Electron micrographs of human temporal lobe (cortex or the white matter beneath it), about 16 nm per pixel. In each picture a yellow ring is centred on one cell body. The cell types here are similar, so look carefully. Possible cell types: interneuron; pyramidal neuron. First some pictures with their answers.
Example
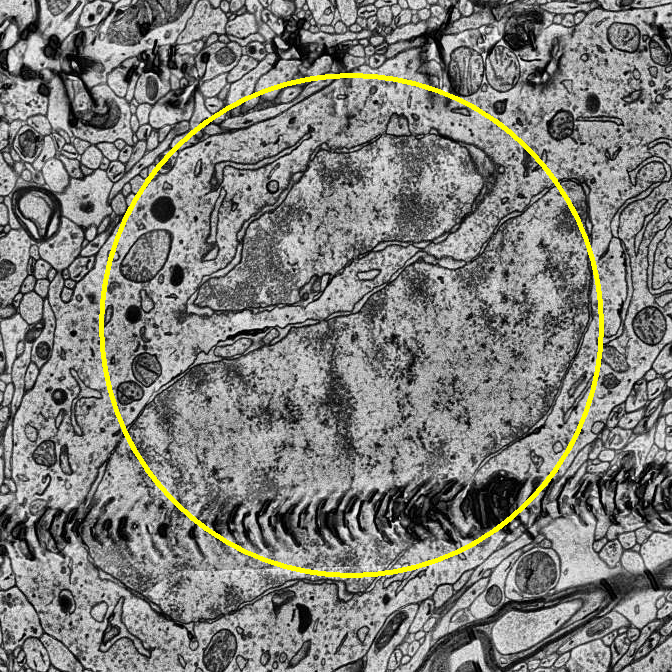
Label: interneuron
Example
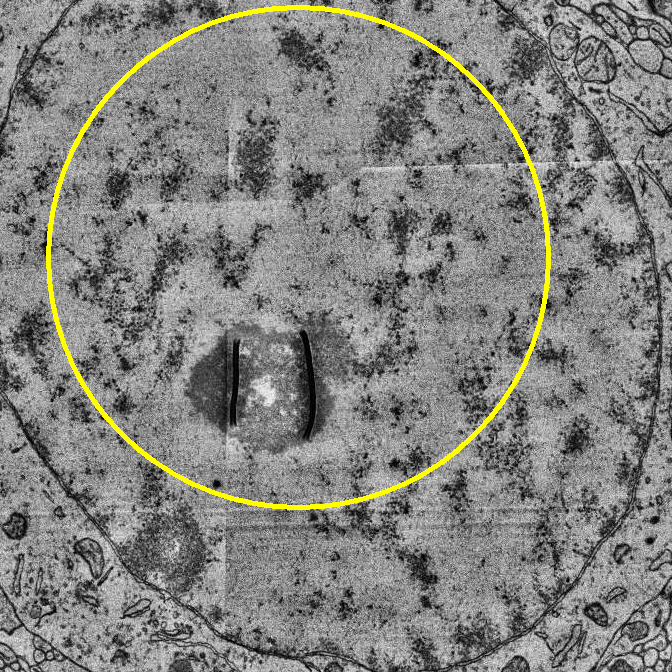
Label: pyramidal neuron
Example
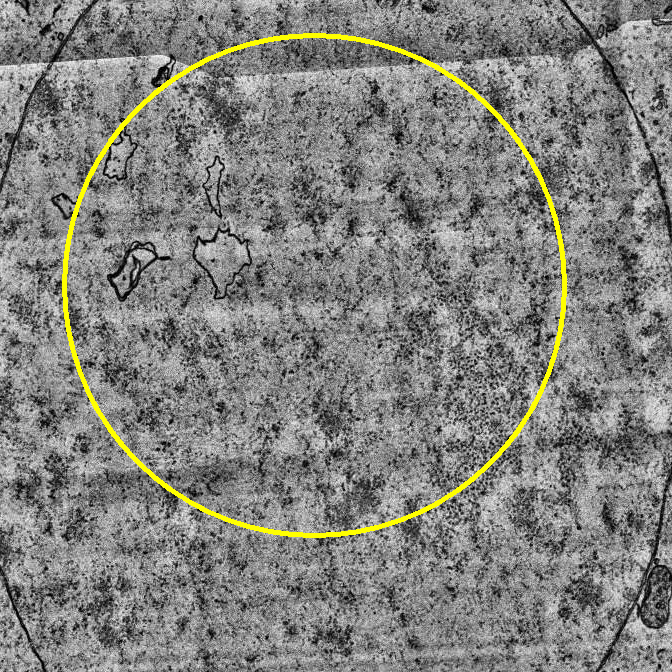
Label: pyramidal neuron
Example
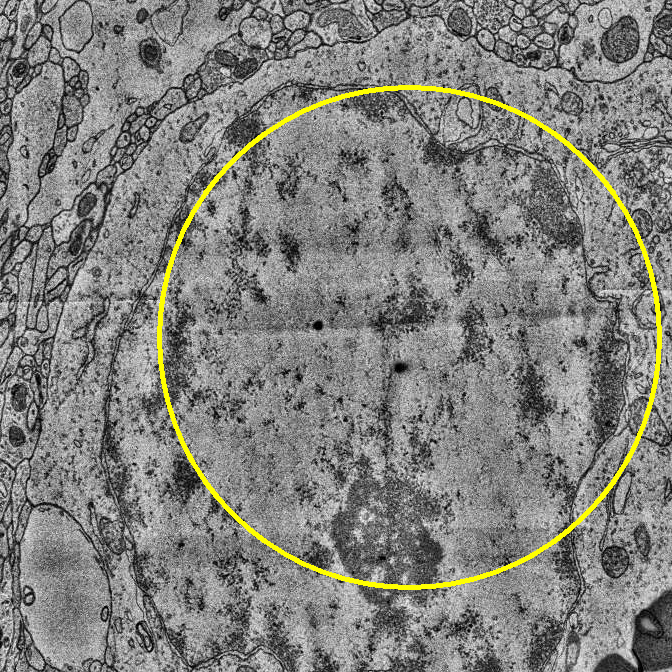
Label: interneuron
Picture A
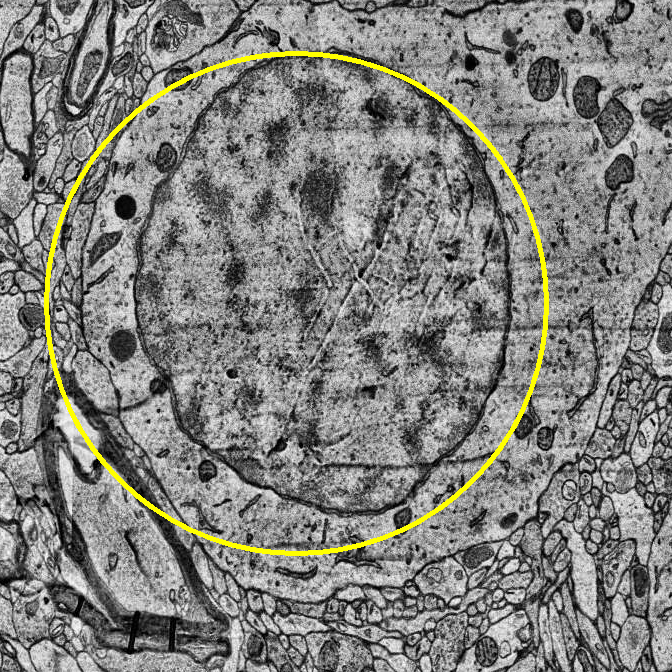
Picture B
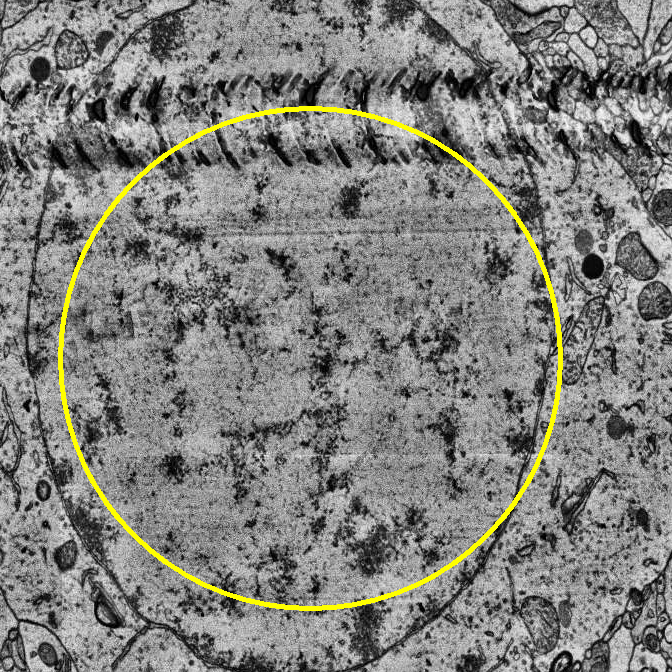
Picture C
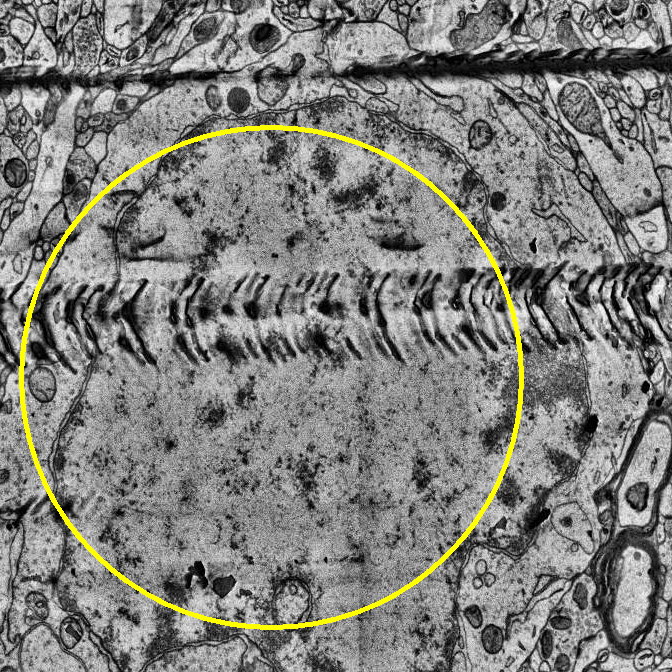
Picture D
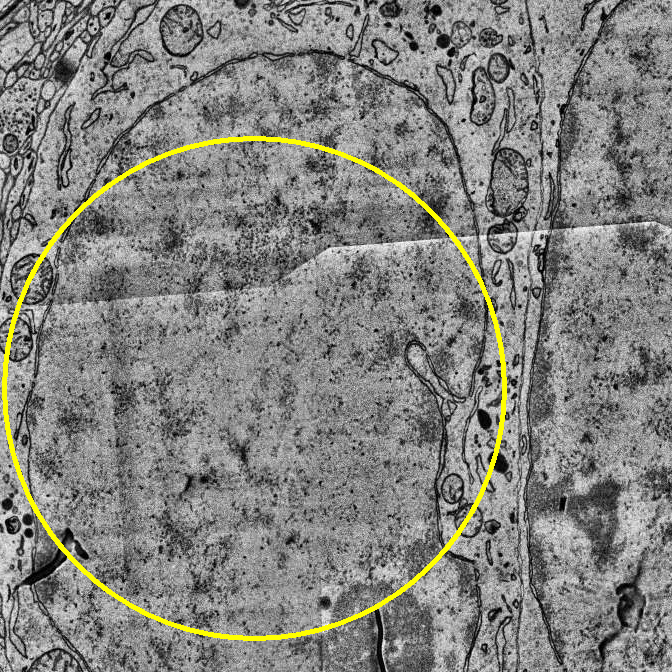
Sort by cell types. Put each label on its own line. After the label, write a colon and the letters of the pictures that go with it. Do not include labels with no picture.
interneuron: C
pyramidal neuron: A, B, D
